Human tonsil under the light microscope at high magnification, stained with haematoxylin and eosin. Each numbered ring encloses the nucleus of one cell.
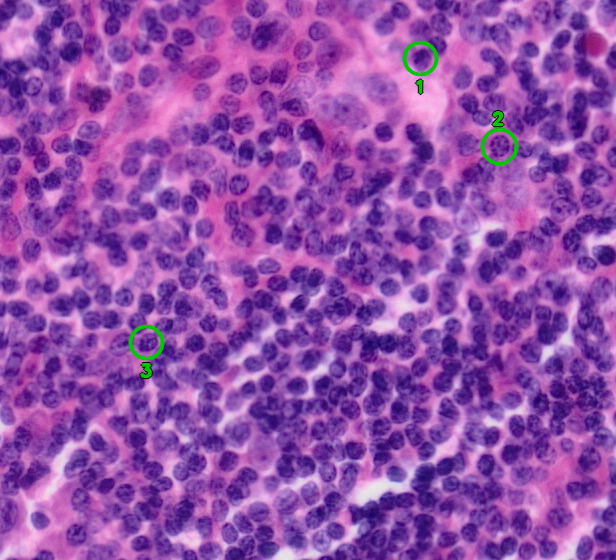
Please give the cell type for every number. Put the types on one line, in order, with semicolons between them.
endothelial cell; plasma cell; small lymphocyte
